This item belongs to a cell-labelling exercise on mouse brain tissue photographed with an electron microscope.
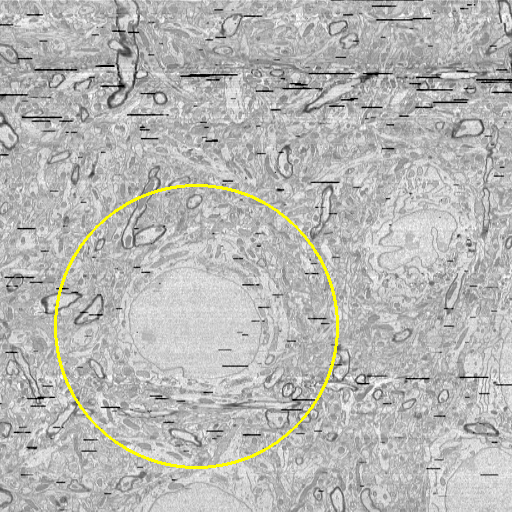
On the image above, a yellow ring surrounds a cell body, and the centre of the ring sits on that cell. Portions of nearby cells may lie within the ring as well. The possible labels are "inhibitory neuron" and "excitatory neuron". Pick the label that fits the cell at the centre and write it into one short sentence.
This cell should be labelled as an excitatory neuron.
